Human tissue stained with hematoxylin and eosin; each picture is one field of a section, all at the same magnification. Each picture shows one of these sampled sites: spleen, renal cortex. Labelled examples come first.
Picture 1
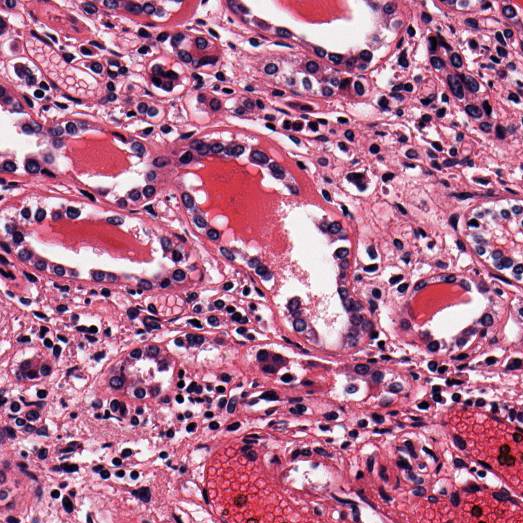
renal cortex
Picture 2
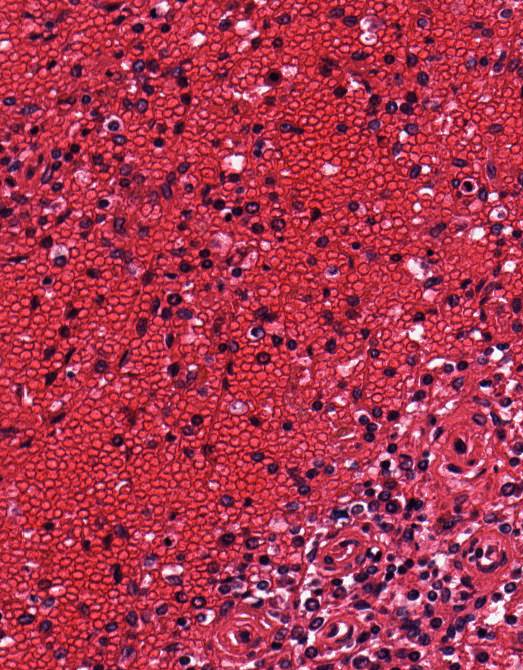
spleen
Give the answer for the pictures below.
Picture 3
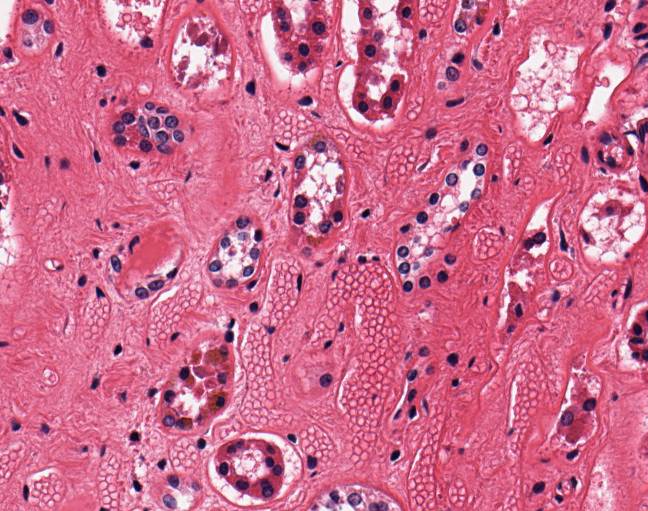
renal cortex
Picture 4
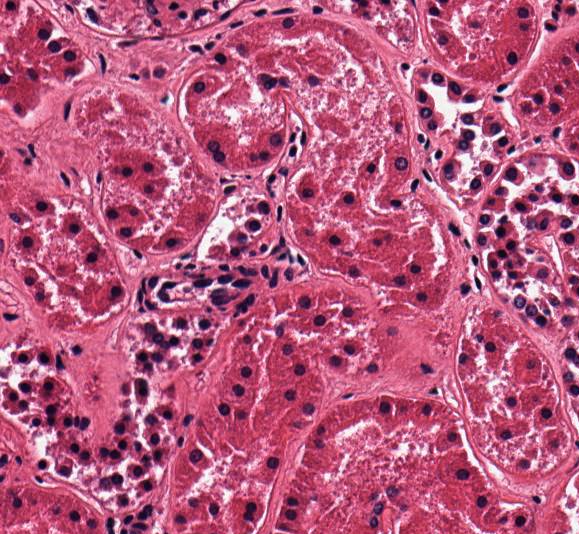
renal cortex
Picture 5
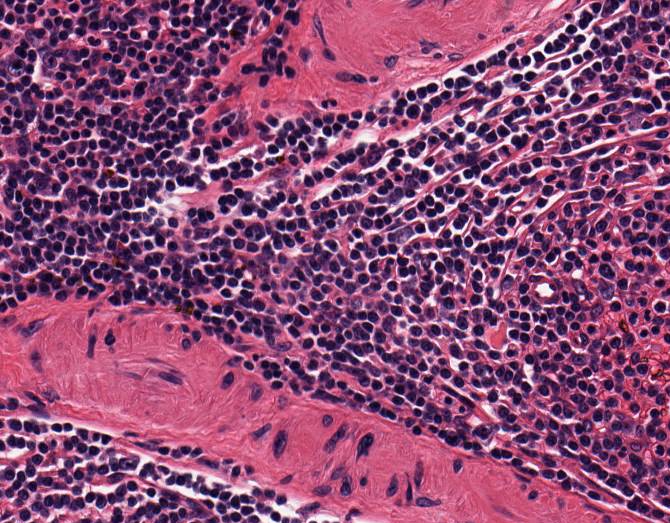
spleen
